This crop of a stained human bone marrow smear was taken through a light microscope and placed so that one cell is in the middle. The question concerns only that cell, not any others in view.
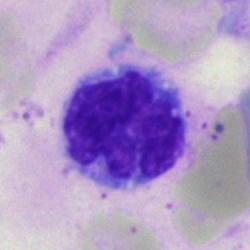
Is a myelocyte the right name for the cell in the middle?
no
